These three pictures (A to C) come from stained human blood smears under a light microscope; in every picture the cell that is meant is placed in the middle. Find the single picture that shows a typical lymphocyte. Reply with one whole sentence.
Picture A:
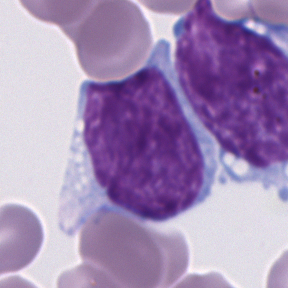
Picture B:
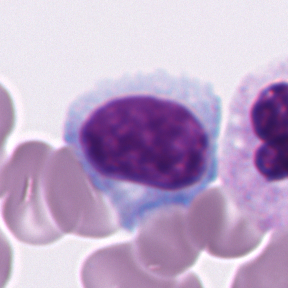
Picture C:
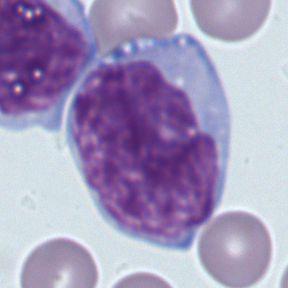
The picture with the typical lymphocyte is B.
